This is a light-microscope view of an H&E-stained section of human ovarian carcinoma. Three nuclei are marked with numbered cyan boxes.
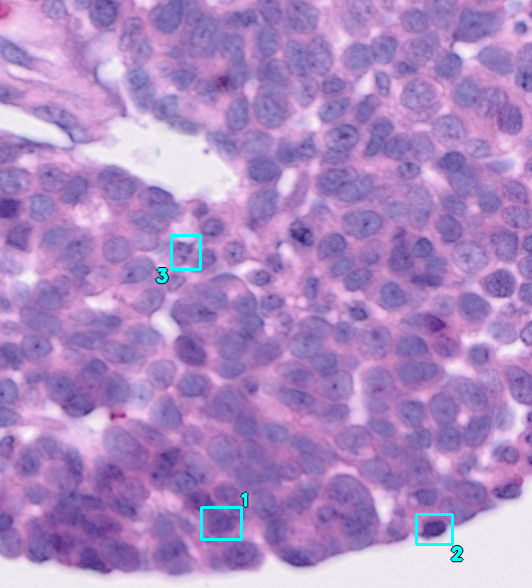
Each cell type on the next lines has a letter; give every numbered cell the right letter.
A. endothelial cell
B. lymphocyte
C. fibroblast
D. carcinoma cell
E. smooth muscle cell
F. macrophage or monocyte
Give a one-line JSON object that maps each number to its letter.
{"1": "D", "2": "D", "3": "F"}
